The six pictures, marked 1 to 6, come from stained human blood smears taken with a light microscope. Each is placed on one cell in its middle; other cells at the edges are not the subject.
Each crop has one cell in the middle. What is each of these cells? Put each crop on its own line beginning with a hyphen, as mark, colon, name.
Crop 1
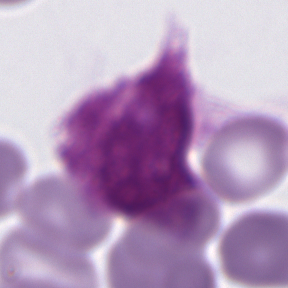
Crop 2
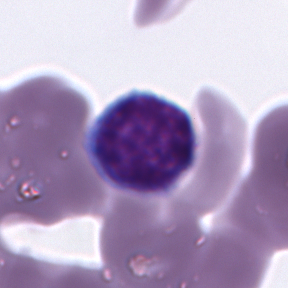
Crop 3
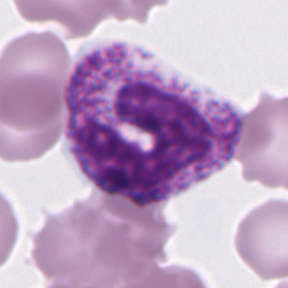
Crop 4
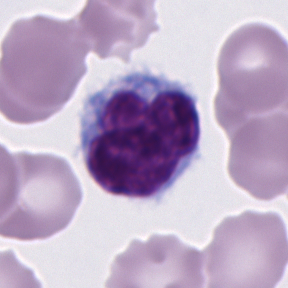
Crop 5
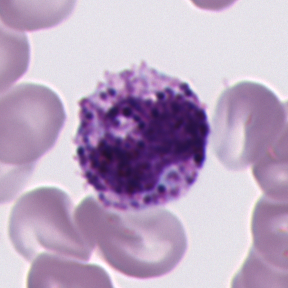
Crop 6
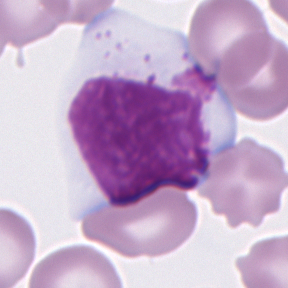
- 1: smudge cell
- 2: typical lymphocyte
- 3: band neutrophil
- 4: hairy cell
- 5: basophil
- 6: large granular lymphocyte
